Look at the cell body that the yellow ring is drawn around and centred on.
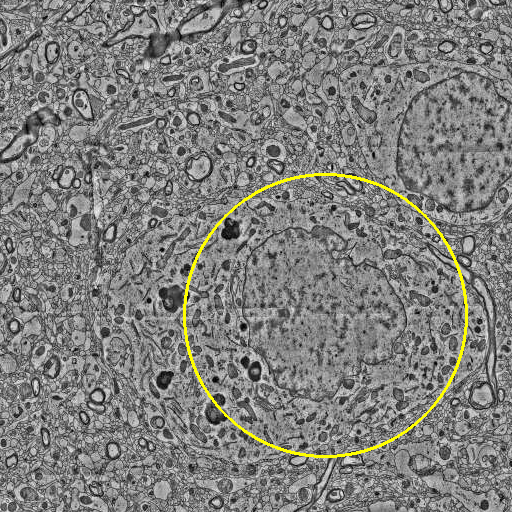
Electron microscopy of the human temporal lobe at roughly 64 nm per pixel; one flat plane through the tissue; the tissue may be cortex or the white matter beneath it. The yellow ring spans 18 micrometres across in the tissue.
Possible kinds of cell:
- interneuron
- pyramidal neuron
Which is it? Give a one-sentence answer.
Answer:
The centred cell body is that of an interneuron.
